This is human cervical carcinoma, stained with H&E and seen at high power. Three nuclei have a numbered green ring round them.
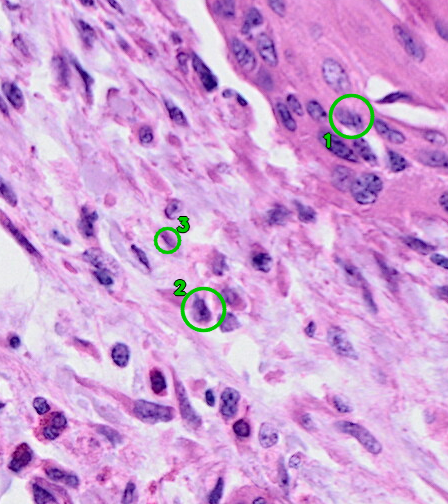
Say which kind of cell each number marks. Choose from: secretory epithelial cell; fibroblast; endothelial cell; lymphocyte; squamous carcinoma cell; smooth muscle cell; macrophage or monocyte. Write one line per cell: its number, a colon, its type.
1: squamous carcinoma cell
2: macrophage or monocyte
3: fibroblast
